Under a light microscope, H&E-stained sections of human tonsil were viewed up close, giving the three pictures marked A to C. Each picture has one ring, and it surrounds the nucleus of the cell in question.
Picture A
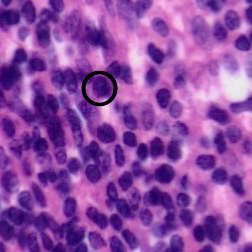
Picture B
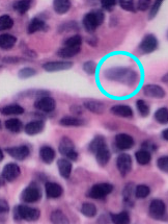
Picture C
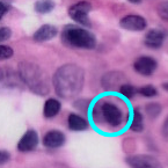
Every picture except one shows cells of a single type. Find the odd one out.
A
